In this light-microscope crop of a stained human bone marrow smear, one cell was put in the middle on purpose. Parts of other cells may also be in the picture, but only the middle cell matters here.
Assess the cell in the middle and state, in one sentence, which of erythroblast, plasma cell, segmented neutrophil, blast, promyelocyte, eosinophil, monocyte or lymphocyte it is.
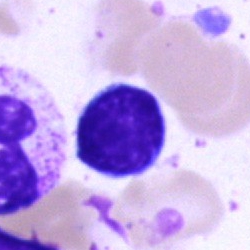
The cell under consideration, at the middle of the crop, is a lymphocyte.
